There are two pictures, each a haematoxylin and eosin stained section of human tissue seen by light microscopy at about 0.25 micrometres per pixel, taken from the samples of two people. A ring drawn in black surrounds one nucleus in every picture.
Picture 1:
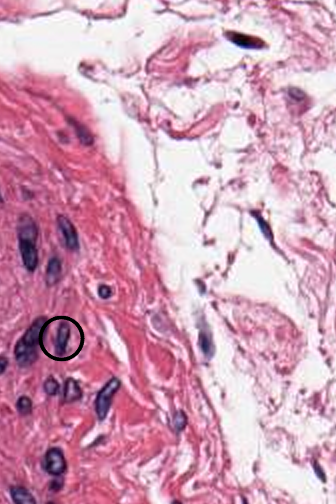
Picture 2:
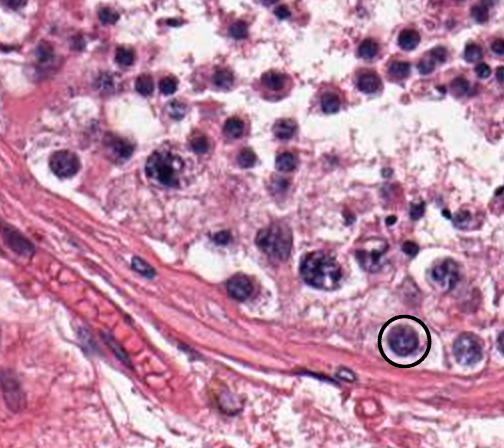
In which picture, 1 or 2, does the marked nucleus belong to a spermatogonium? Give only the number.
2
